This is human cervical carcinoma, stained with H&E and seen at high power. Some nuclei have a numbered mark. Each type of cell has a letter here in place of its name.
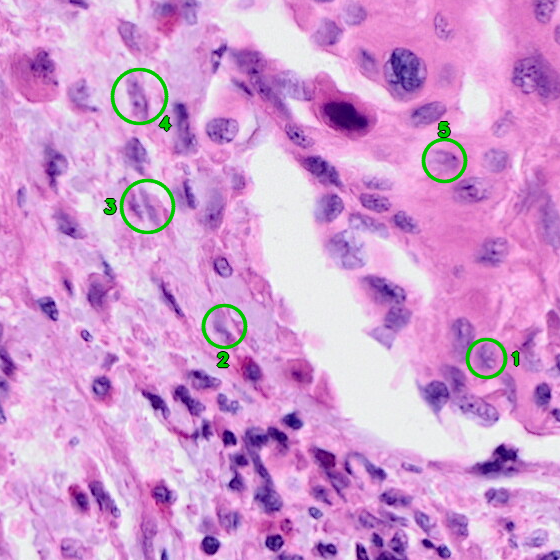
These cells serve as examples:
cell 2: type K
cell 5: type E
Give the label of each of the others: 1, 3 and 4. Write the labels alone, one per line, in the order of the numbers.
type E
type K
type K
